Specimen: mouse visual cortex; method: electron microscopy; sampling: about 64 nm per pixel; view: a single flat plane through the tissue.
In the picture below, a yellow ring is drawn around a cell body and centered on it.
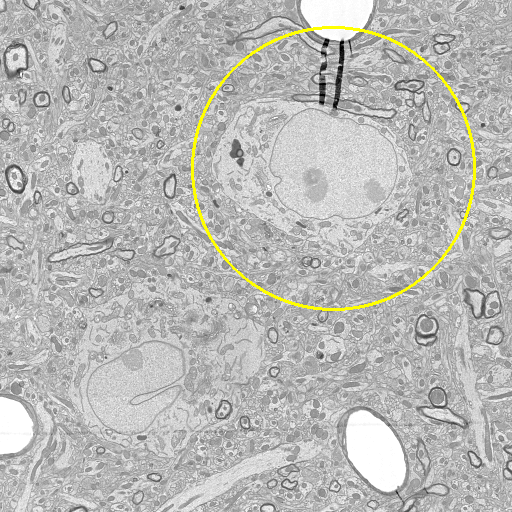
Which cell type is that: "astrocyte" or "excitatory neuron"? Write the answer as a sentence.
The cell centered in the ring is an excitatory neuron.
